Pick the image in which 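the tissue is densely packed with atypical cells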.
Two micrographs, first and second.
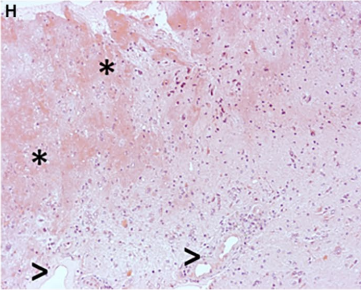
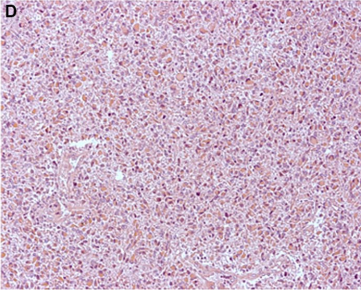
The second image.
